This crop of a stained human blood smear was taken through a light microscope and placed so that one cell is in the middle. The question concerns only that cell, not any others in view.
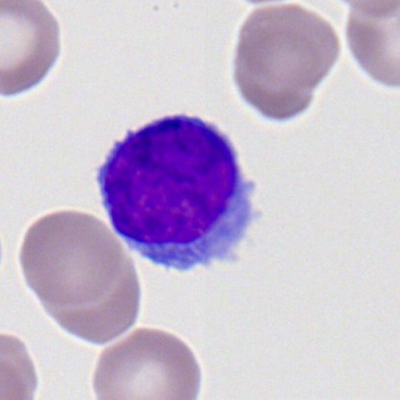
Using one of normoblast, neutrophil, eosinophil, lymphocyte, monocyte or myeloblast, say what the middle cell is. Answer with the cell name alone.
lymphocyte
